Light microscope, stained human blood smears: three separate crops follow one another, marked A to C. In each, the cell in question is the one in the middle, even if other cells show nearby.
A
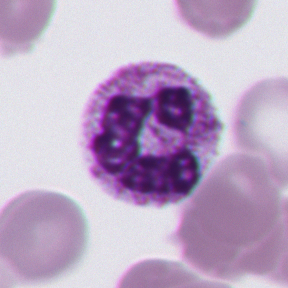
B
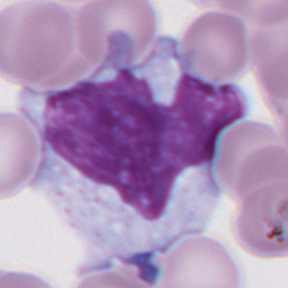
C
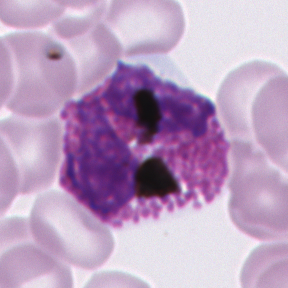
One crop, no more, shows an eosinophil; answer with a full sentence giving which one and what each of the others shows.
The cell in crop C is an eosinophil, while crop A is a segmented neutrophil and crop B is a monocyte.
